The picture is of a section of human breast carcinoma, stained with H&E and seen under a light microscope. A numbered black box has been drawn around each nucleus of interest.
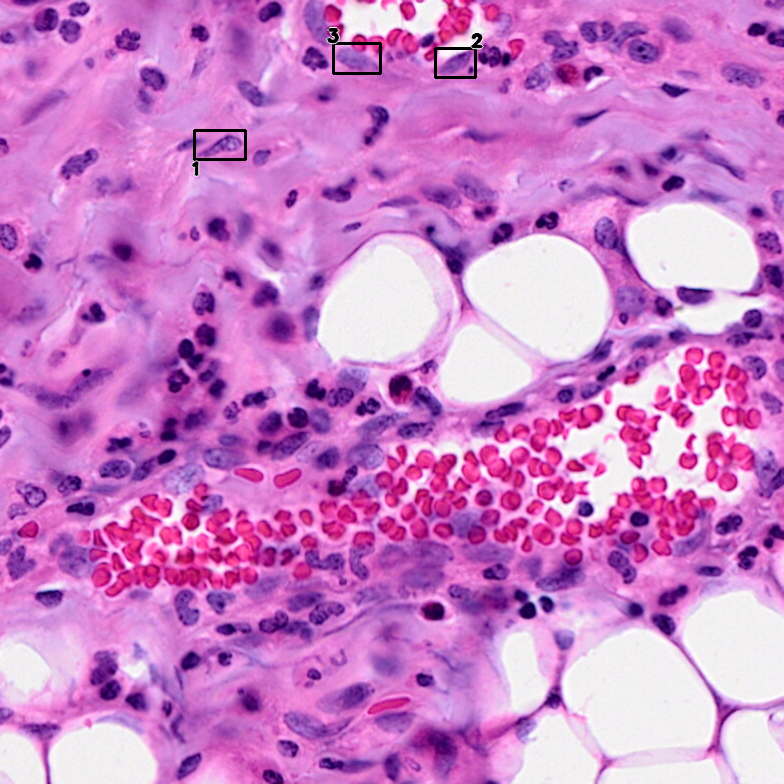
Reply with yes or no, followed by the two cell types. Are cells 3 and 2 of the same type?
Yes, cell 3 is among the endothelial cells, and cell 2 is as well.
